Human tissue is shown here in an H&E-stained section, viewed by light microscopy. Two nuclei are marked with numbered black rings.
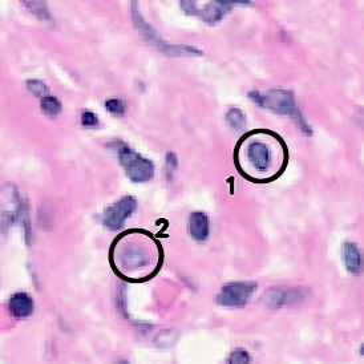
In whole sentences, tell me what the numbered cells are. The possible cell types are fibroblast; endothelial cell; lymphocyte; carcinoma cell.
Cell 1 is a lymphocyte. Cell 2 is an endothelial cell.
